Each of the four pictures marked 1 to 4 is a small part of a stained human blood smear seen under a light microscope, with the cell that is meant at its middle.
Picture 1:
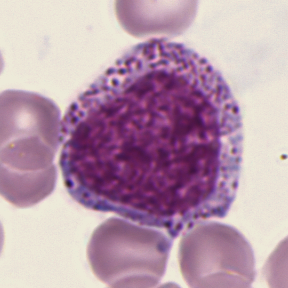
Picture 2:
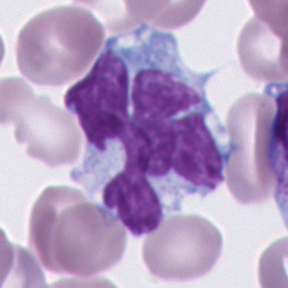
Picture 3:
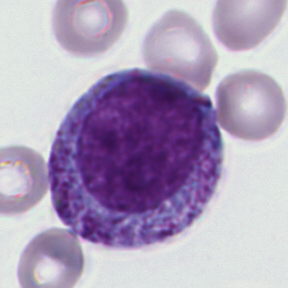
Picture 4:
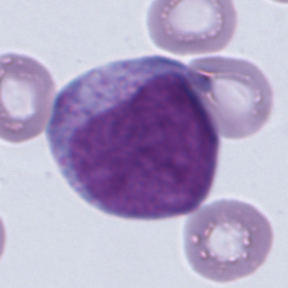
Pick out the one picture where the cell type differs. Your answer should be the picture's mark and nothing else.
2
